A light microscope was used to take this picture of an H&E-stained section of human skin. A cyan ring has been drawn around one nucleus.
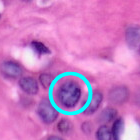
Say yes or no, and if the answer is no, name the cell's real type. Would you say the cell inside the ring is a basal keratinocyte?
Yes.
